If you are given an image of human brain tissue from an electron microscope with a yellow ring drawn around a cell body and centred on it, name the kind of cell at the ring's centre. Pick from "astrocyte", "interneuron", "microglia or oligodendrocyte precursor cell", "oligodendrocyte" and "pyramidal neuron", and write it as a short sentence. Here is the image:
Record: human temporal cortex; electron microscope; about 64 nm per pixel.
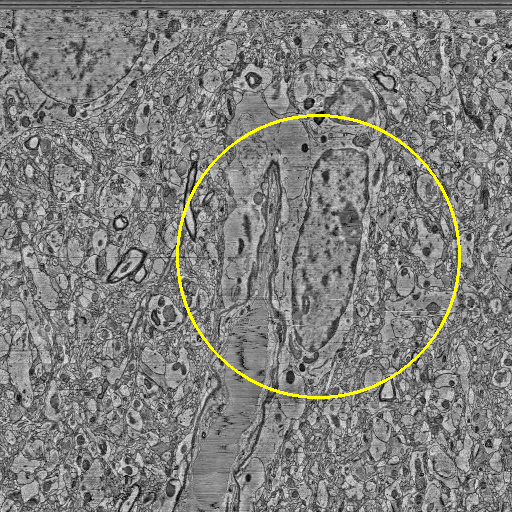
The cell at the ring's centre is a microglial cell or oligodendrocyte precursor cell.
